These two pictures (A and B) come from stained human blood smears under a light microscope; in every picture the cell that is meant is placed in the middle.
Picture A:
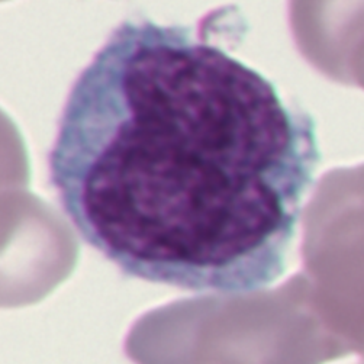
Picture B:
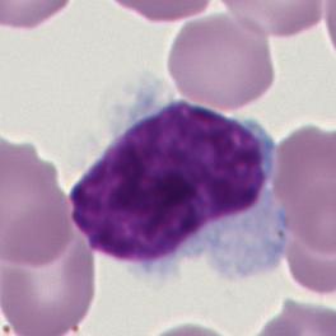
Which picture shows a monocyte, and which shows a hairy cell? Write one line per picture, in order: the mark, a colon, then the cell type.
A: monocyte
B: hairy cell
